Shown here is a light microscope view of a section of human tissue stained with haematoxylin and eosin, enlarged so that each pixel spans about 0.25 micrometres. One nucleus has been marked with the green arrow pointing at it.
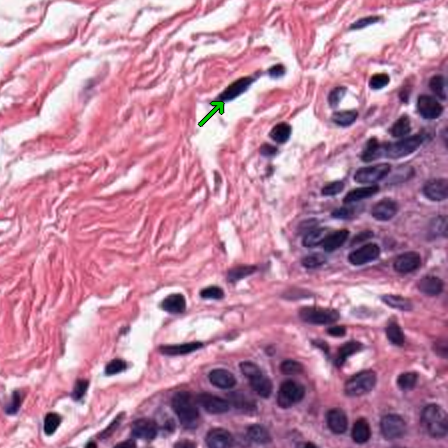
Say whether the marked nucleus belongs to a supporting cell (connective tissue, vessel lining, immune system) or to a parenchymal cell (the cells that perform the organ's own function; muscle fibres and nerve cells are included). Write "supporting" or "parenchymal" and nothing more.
supporting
